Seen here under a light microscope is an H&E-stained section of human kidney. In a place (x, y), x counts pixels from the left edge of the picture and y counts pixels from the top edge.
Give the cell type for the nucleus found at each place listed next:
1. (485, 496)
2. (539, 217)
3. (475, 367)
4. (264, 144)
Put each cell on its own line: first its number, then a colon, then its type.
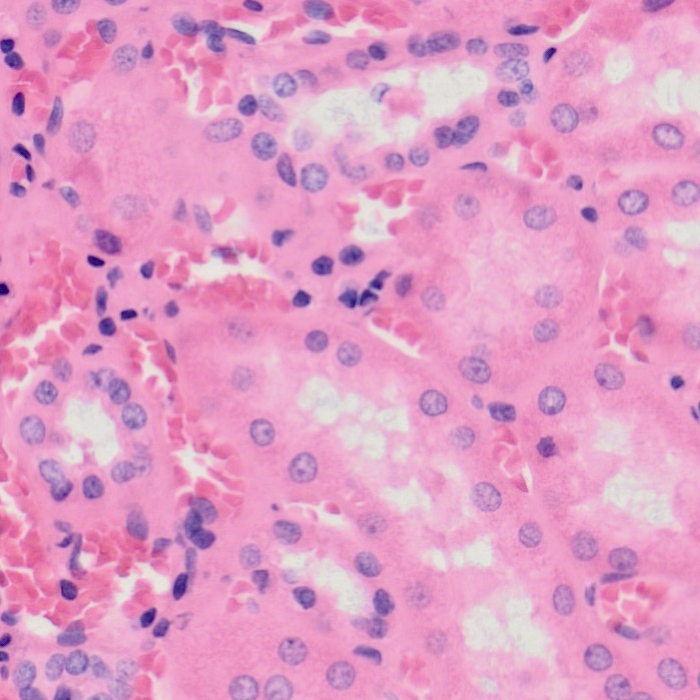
1: proximal tubule cell
2: proximal tubule cell
3: proximal tubule cell
4: collecting duct cell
